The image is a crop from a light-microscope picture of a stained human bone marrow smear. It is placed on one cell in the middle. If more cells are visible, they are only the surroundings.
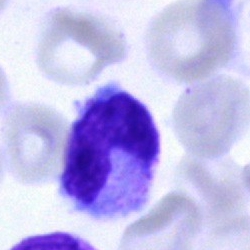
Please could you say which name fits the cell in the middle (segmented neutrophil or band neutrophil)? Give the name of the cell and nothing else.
band neutrophil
